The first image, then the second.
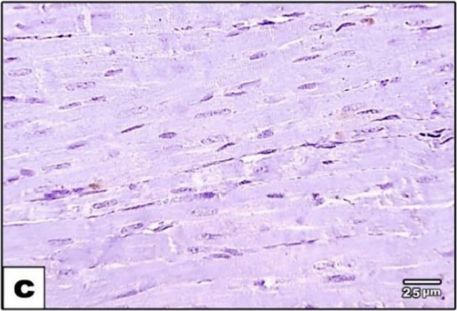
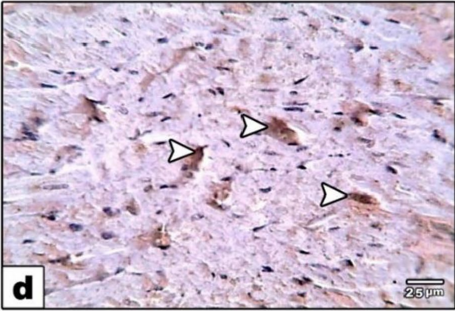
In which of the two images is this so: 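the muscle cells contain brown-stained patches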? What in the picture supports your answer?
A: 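The second image. Second image: several brown patches are scattered among the fibres.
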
